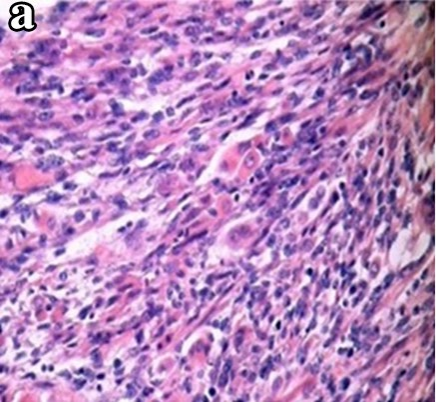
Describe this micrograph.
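This is a highly cellular tumor made of pleomorphic spindle cells arranged in streaming, roughly parallel fascicles. Their nuclei are elongated, dark purple and vary in size and shape, with scant pale pink cytoplasm between them. Scattered among the spindle cells are larger cells with abundant dense eosinophilic cytoplasm. Cell density varies, with some areas more crowded than others.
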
